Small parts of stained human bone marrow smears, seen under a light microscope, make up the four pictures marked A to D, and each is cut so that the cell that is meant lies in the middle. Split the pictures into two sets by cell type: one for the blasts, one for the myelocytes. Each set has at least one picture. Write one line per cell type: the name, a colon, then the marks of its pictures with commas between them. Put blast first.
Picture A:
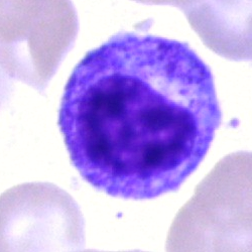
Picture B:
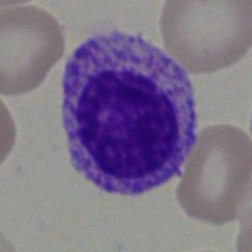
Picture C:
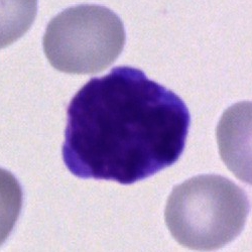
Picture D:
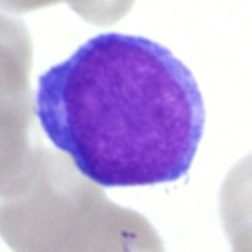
blast: C, D
myelocyte: A, B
